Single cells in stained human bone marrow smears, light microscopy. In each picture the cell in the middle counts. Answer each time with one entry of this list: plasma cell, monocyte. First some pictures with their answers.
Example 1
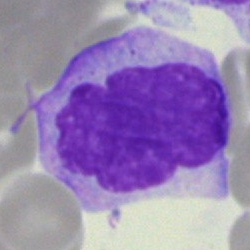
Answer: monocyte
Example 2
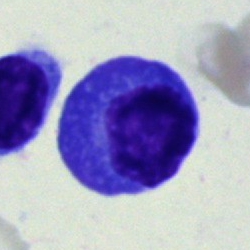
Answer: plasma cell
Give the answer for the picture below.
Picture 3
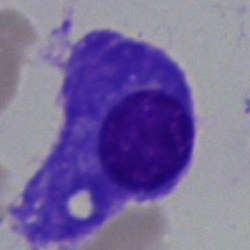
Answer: plasma cell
